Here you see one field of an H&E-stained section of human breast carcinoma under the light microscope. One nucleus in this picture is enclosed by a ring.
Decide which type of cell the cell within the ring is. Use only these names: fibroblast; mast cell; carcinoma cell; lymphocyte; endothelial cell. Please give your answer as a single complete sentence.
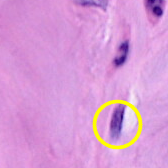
Microscopically, the cell within the ring is categorized as a fibroblast.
